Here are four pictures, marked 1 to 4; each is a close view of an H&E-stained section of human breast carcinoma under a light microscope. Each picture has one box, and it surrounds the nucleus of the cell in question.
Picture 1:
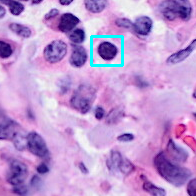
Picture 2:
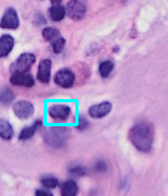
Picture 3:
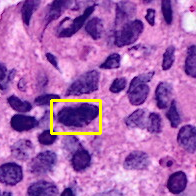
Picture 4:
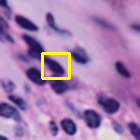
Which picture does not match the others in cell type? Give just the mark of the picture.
3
